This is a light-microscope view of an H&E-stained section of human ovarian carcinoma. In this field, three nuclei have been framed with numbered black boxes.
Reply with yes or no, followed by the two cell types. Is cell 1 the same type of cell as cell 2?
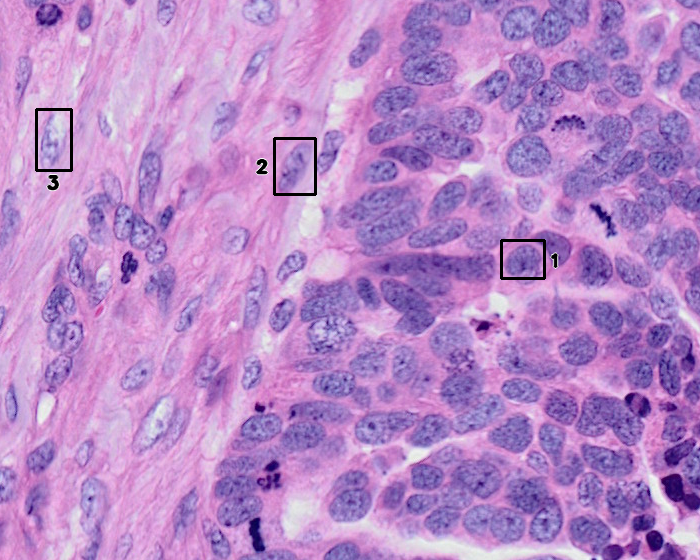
No, in contrast to cell 2, which is a fibroblast, cell 1 is a carcinoma cell.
